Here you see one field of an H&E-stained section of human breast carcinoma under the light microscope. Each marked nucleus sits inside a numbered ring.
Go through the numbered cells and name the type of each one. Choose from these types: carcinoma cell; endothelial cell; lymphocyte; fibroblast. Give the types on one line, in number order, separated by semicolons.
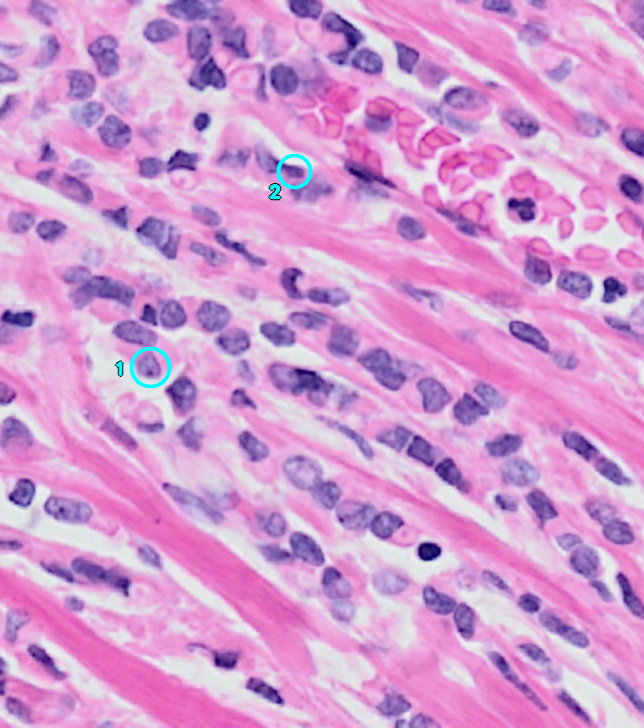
carcinoma cell; endothelial cell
